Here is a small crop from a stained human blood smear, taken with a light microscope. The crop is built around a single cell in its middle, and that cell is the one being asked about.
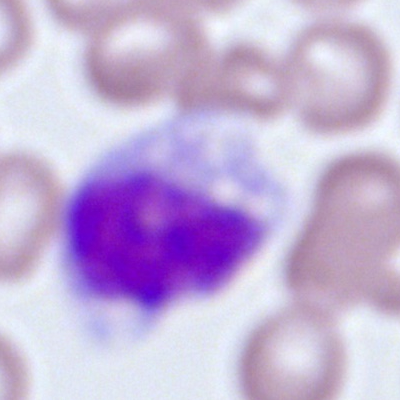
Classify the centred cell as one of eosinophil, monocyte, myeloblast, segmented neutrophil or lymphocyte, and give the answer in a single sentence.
The centrally positioned cell in the crop represents a monocyte.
